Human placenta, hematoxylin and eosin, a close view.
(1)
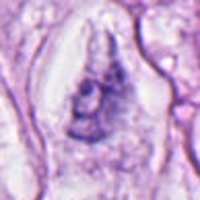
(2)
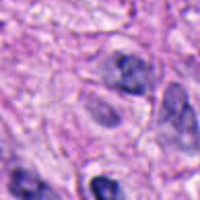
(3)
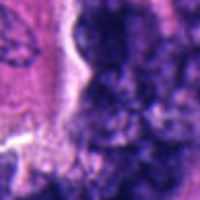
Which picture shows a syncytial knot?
Picture 3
